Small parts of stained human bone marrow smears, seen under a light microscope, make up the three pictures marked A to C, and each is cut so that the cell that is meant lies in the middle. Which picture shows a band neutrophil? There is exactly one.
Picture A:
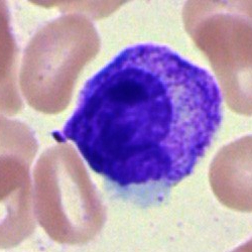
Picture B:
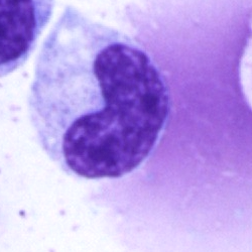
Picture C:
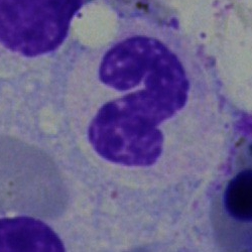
C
